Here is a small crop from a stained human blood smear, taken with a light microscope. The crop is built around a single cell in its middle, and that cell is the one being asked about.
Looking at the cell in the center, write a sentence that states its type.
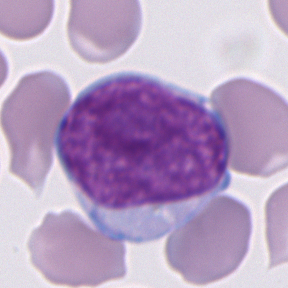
The crop shows a myeloblast in its centre.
